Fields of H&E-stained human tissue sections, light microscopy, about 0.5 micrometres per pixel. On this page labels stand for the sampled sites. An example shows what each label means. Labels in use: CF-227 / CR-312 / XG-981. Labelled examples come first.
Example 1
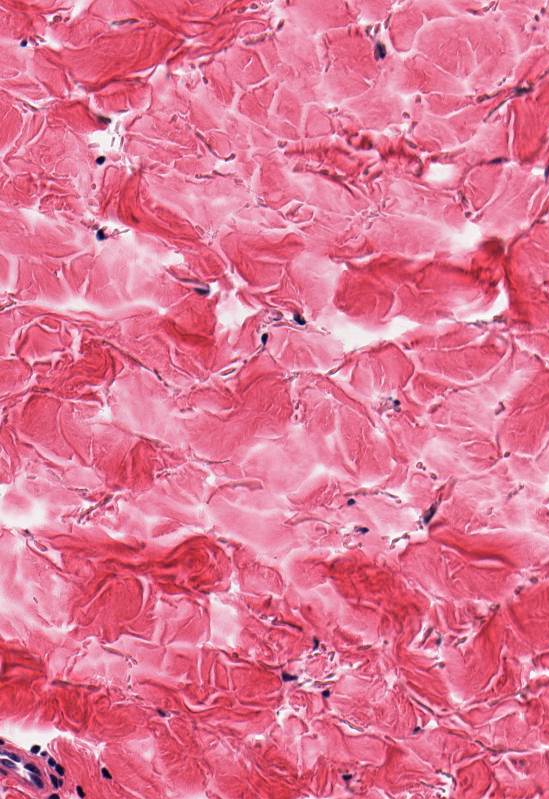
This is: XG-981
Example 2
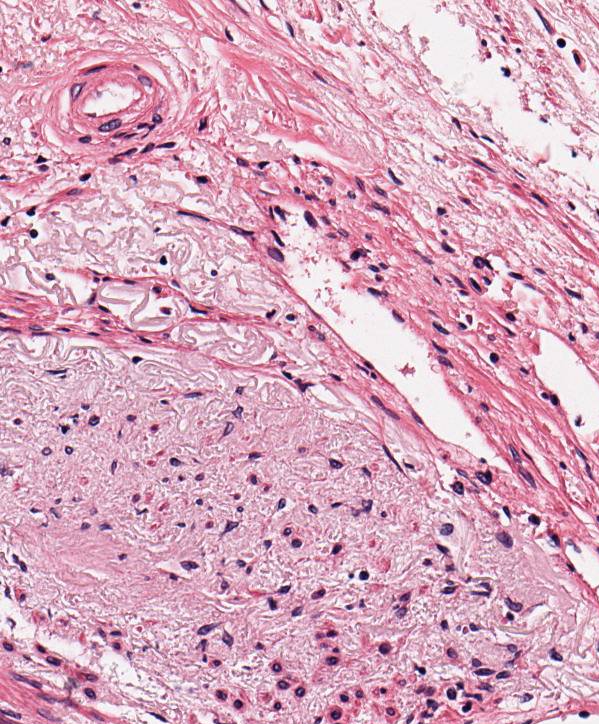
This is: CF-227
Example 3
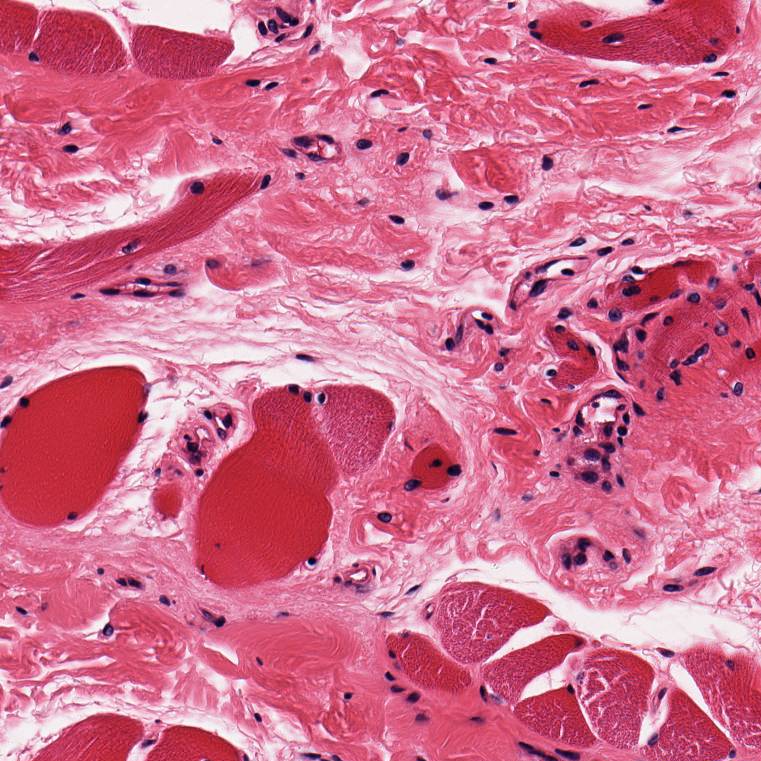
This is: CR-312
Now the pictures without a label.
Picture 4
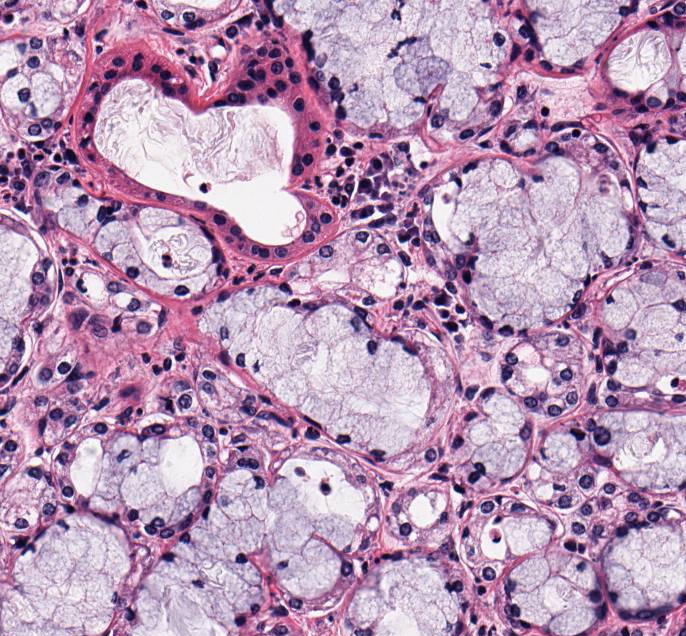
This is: CR-312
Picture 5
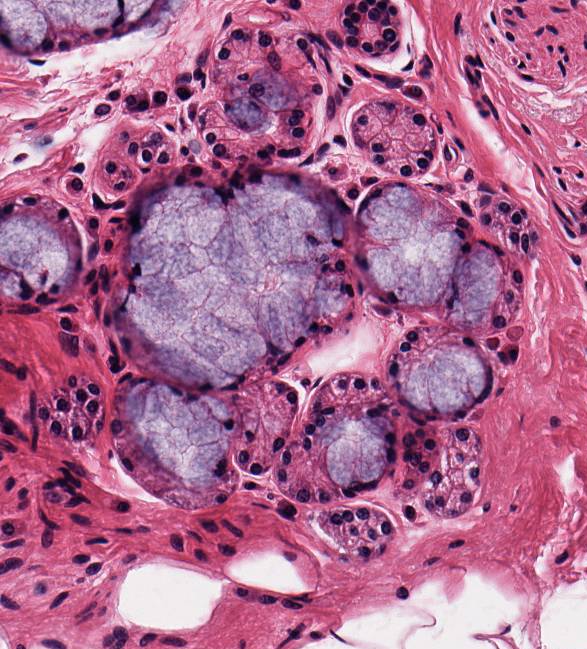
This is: CR-312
